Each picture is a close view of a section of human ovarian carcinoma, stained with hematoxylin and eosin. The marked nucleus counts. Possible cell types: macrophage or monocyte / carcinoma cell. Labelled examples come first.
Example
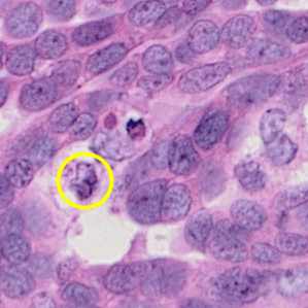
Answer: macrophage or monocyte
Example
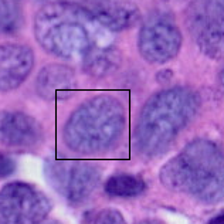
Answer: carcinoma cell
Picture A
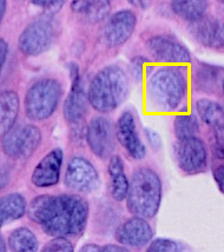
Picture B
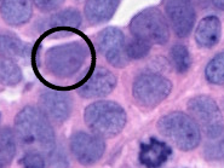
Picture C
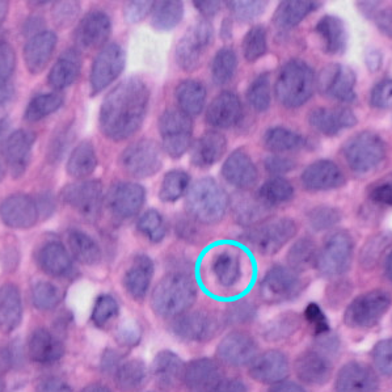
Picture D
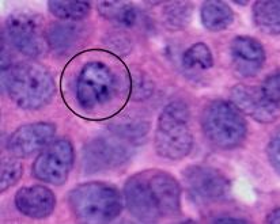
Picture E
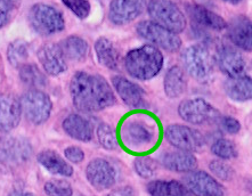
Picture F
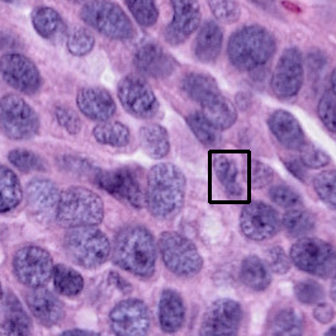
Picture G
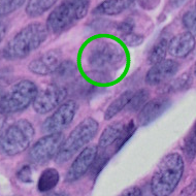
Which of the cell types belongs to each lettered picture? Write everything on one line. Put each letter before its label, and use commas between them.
A carcinoma cell, B carcinoma cell, C macrophage or monocyte, D macrophage or monocyte, E carcinoma cell, F macrophage or monocyte, G carcinoma cell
